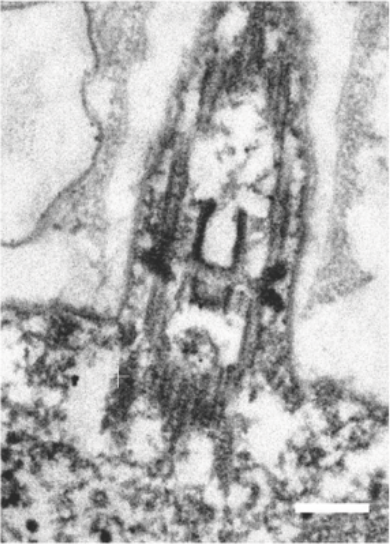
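Longitudinal section through a cilium at its transition zone, emerging from the cell surface. Parallel microtubule walls extend upward inside the ciliary membrane. An H-shaped dense structure crosses the lumen at the base, with dark dense deposits against the membrane on either side. Below, granular cytoplasm of the cell body fills the lower part of the image.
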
